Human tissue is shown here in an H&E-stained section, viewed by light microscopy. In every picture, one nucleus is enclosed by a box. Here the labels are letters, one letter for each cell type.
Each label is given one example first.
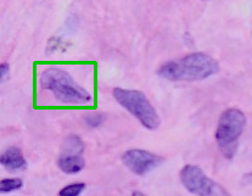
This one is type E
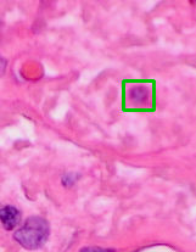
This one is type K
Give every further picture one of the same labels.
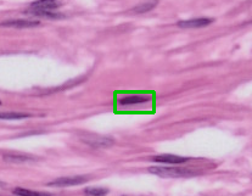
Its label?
type E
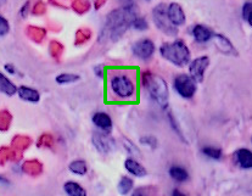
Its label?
type K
